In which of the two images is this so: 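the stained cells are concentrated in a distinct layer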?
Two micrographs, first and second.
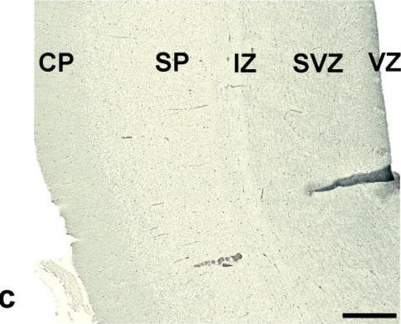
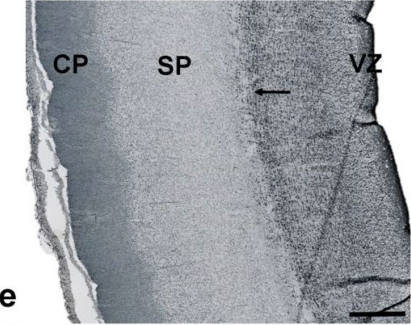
the second image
